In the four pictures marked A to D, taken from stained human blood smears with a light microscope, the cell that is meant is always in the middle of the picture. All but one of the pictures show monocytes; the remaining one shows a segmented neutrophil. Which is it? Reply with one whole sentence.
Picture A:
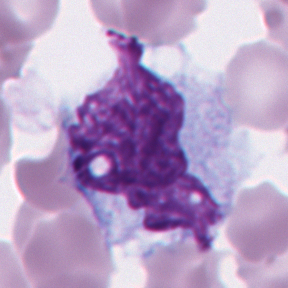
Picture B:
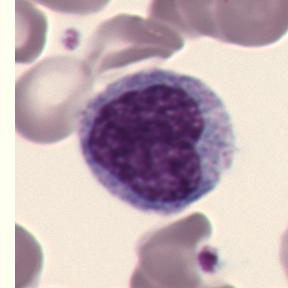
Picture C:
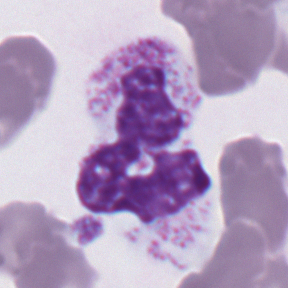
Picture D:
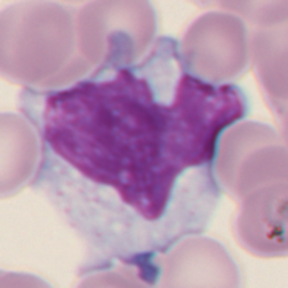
The cell in picture C is the segmented neutrophil.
